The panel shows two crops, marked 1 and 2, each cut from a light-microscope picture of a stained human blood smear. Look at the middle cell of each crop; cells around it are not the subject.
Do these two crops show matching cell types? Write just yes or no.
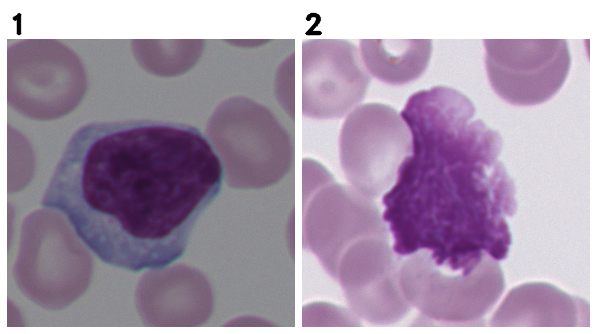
no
